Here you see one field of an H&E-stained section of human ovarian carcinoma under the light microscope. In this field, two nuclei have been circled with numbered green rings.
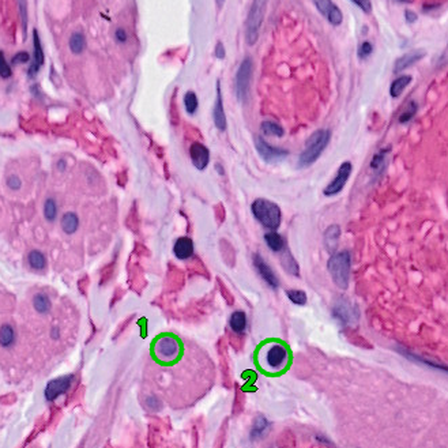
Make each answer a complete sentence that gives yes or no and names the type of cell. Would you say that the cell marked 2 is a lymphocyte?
Yes, the cell at marker 2 is a lymphocyte.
